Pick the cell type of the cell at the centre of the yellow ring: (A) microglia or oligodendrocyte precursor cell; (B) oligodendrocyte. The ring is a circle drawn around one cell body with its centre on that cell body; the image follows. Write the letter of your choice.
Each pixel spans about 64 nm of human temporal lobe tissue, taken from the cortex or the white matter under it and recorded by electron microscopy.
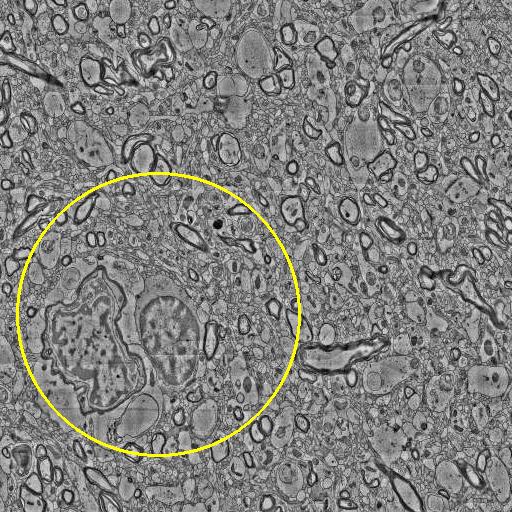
B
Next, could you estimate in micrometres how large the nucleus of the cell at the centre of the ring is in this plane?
Roughly 6 micrometres by 4 micrometres, so the nucleus is clearly longer than it is wide in this plane.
